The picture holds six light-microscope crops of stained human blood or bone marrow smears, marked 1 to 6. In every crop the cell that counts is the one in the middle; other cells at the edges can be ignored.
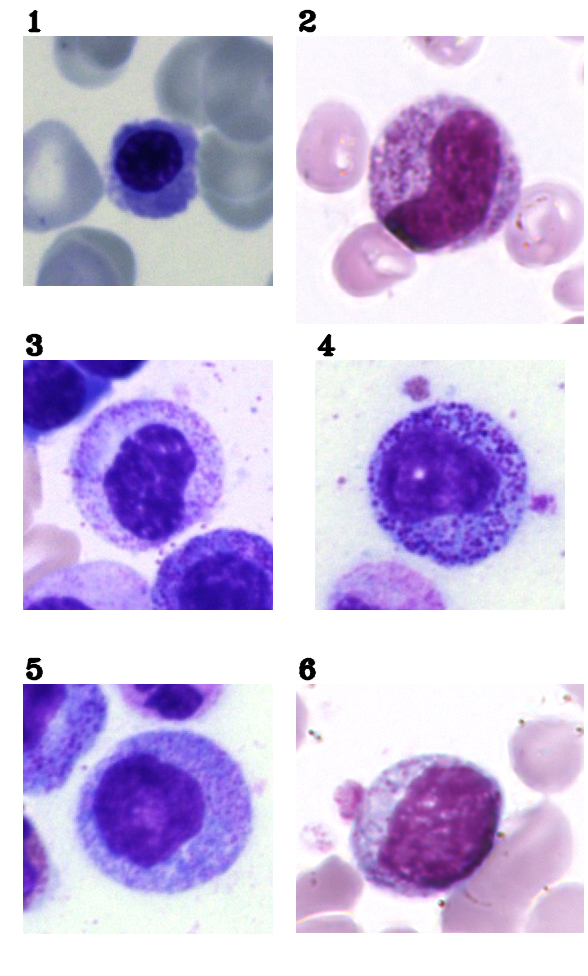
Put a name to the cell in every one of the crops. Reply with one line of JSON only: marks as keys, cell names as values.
{"1": "erythroblast", "2": "metamyelocyte", "3": "metamyelocyte", "4": "myelocyte", "5": "myelocyte", "6": "myelocyte"}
